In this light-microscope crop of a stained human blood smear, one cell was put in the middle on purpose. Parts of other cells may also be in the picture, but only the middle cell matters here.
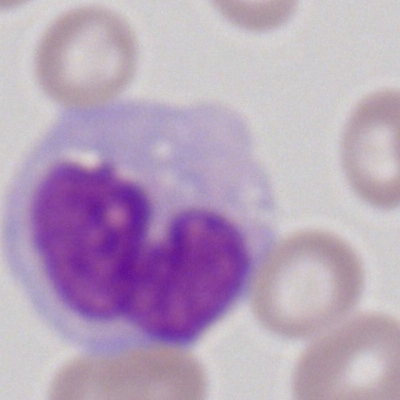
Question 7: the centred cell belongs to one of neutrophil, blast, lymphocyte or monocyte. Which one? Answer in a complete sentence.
What sits at the centre of this crop is a monocyte.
